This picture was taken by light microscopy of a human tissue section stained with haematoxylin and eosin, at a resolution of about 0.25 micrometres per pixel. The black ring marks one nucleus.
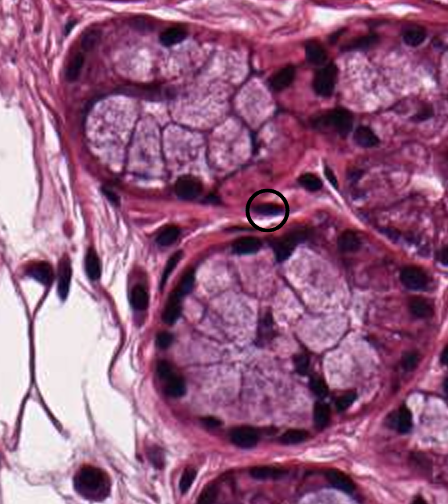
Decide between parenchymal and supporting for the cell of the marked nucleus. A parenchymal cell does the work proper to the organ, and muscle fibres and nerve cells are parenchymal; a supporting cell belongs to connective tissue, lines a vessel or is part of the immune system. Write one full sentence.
Among the cells in view, a supporting cell holds the marked nucleus.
